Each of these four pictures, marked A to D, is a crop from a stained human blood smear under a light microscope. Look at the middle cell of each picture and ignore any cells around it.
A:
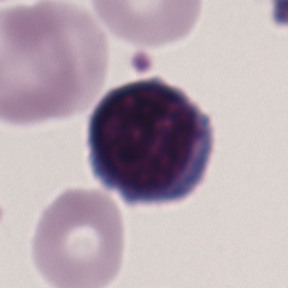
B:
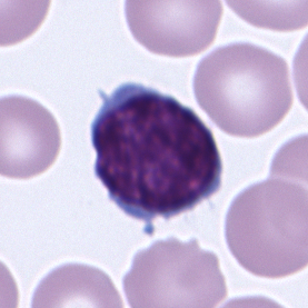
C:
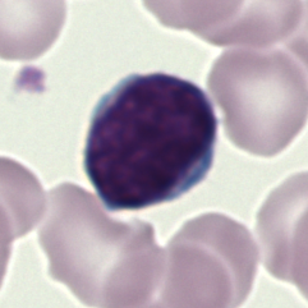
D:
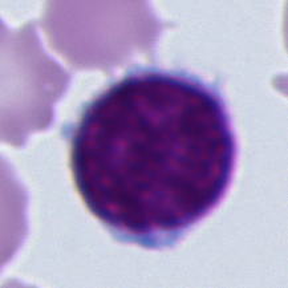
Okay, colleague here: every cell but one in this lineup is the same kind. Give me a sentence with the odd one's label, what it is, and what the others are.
Crop D does not match the others; it shows a hairy cell, and they show typical lymphocytes.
